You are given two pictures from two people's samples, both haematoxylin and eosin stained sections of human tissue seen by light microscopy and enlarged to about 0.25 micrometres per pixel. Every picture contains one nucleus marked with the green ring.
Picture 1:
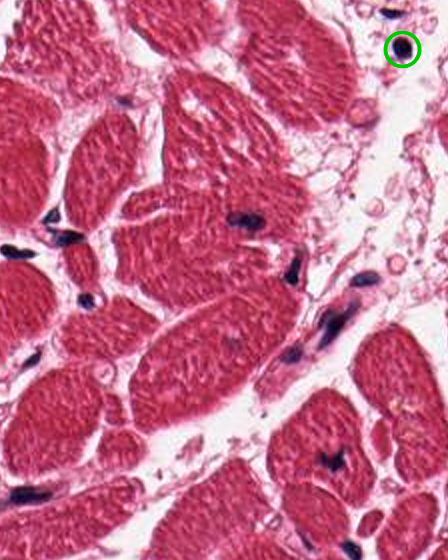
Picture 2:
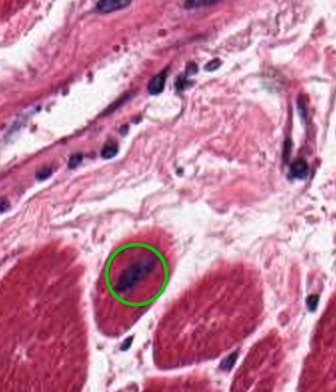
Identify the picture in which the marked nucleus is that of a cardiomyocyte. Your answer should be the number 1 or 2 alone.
2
